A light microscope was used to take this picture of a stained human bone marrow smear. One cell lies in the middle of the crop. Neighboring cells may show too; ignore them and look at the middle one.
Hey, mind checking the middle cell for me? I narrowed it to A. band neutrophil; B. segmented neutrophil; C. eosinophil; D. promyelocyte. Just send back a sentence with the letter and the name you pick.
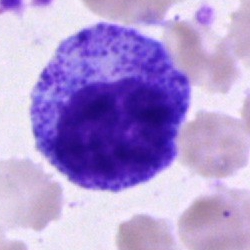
The centered cell is a promyelocyte, which is why option D is right.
